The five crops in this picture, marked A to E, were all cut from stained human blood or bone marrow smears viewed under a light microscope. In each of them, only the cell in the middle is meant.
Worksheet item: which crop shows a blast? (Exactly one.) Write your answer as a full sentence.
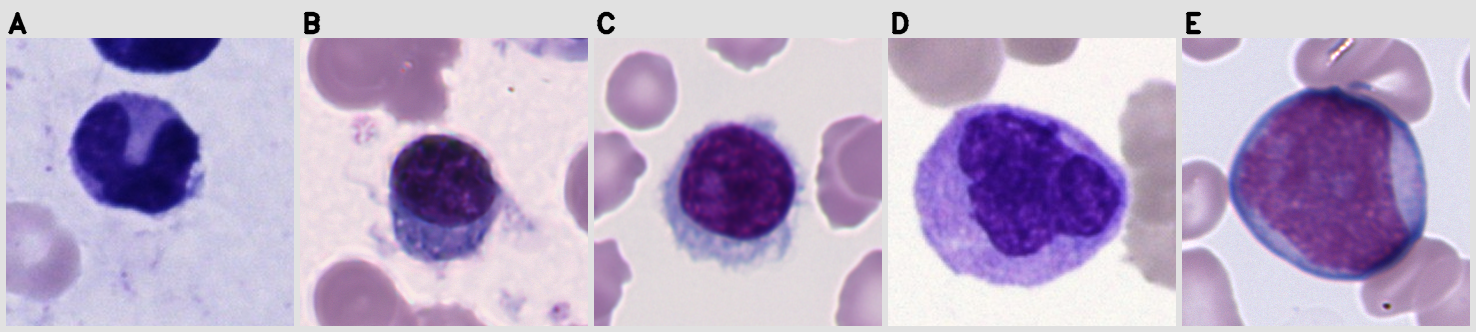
Crop E is the crop whose central cell is a blast.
